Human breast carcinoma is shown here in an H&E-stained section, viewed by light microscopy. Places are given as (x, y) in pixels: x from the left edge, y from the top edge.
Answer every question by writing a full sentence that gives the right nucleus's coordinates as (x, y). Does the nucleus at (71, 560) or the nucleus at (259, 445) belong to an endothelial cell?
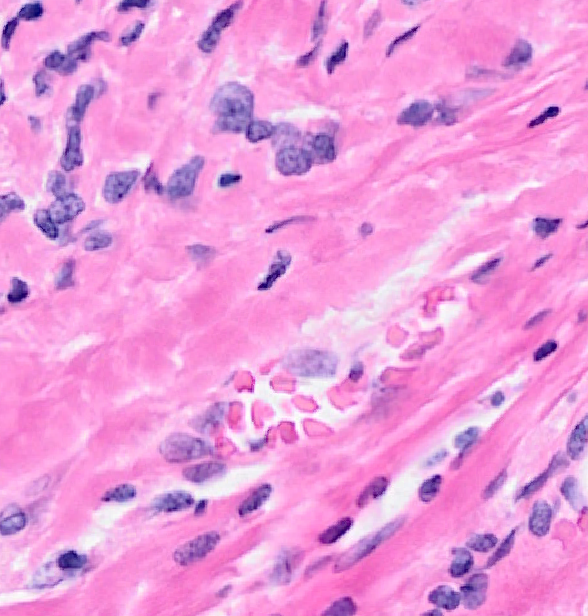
The nucleus found at (259, 445) belongs to an endothelial cell.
